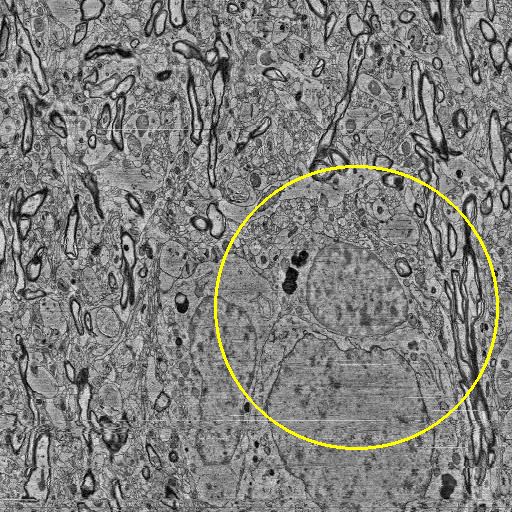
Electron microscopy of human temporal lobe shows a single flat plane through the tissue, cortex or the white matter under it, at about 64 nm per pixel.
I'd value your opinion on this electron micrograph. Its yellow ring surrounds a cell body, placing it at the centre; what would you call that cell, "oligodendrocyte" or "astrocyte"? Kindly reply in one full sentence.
It is an oligodendrocyte that sits centred within the yellow ring in this micrograph.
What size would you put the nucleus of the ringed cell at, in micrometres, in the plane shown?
The nucleus works out at approximately 7 by 6 micrometres in this plane.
